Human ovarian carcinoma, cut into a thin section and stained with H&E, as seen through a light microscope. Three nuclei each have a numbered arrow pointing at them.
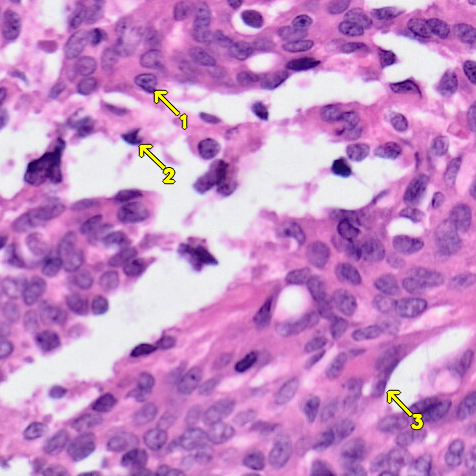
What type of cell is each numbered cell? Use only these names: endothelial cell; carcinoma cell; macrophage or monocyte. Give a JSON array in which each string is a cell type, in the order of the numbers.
["macrophage or monocyte", "macrophage or monocyte", "carcinoma cell"]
